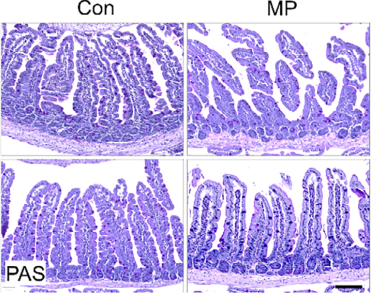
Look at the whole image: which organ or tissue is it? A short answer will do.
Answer: Gut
